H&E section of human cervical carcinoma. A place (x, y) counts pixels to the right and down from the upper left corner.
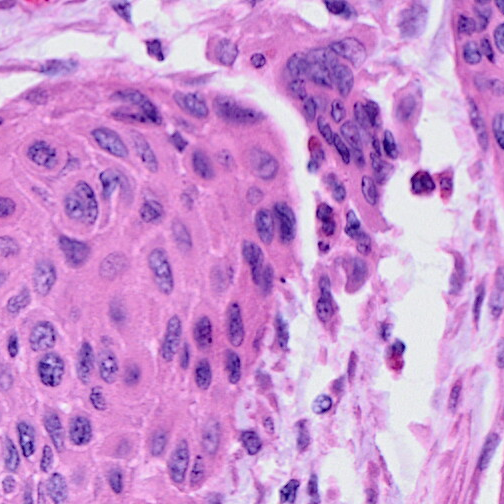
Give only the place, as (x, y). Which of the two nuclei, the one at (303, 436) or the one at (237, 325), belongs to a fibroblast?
(303, 436)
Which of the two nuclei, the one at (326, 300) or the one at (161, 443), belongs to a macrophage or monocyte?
(326, 300)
